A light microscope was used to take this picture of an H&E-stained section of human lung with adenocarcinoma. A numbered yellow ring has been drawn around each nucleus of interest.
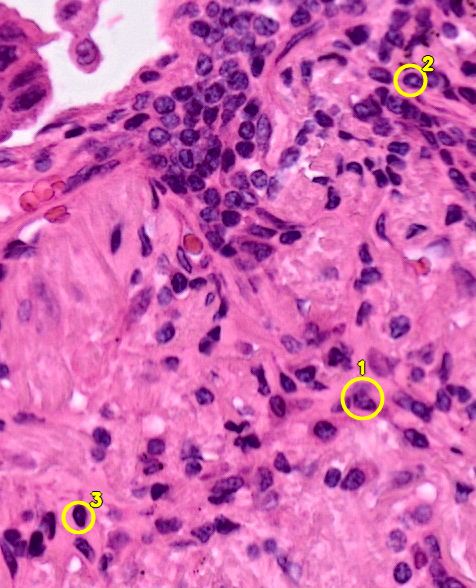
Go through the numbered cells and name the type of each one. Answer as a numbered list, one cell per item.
1. plasma cell
2. lymphocyte
3. plasma cell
